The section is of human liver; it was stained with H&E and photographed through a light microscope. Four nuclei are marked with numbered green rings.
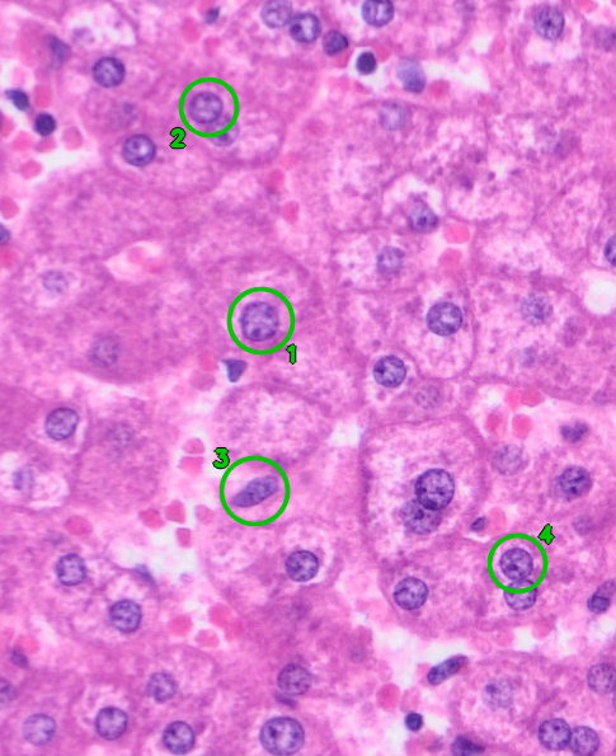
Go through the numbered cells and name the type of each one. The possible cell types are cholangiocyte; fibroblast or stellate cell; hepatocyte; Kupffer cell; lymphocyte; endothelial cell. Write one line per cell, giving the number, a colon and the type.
1: hepatocyte
2: hepatocyte
3: Kupffer cell
4: hepatocyte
